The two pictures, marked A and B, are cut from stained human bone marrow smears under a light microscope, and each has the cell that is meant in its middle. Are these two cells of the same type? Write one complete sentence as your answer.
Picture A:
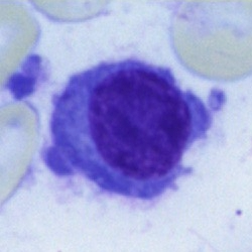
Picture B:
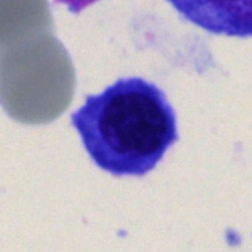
Yes, they are the same type: both are plasma cells.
